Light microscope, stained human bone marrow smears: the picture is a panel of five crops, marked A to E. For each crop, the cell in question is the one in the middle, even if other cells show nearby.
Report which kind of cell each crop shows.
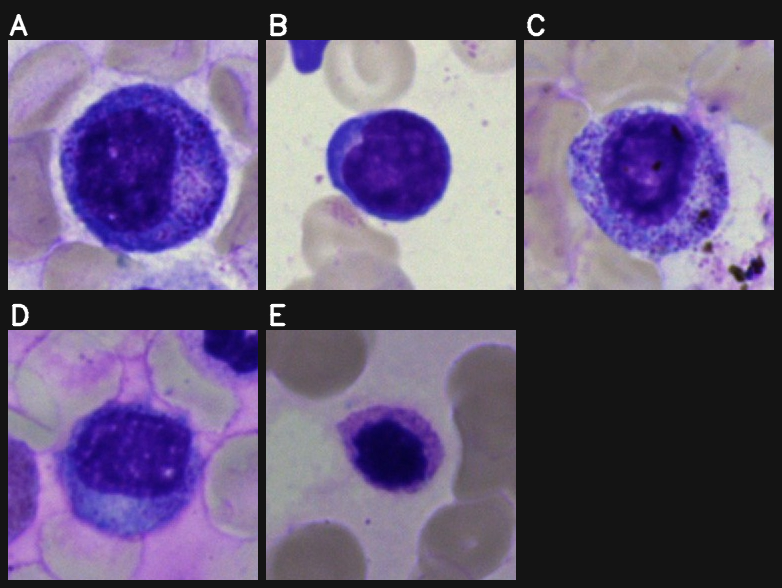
A: promyelocyte
B: lymphocyte
C: myelocyte
D: myelocyte
E: basophil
